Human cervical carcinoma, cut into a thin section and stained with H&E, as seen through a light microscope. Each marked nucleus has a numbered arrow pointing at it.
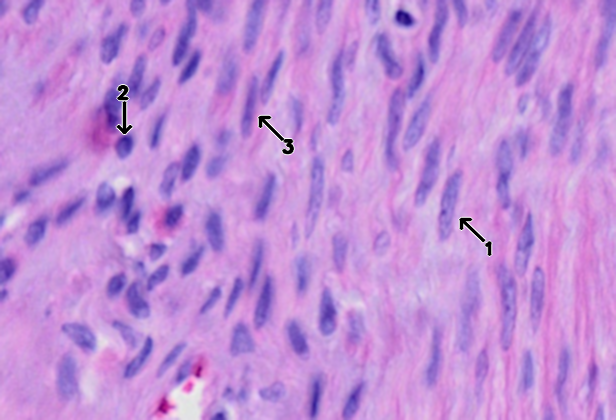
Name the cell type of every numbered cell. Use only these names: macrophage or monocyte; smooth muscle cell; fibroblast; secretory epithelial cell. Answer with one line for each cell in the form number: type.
1: smooth muscle cell
2: fibroblast
3: smooth muscle cell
